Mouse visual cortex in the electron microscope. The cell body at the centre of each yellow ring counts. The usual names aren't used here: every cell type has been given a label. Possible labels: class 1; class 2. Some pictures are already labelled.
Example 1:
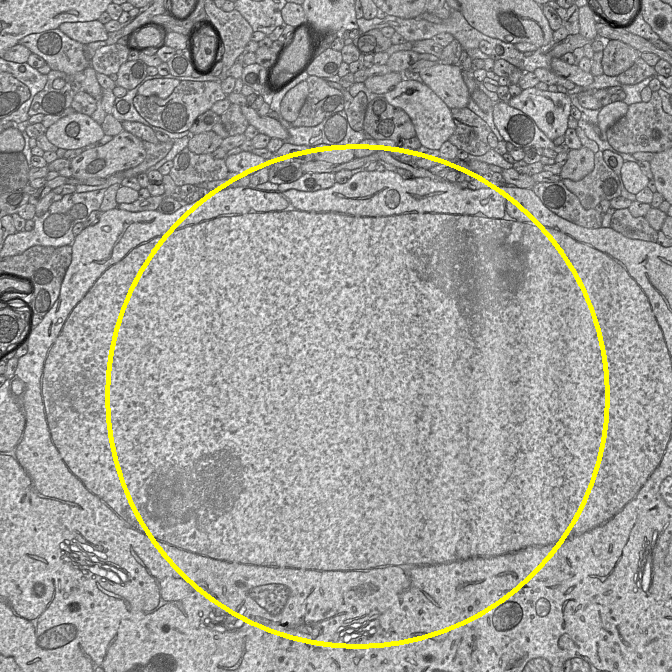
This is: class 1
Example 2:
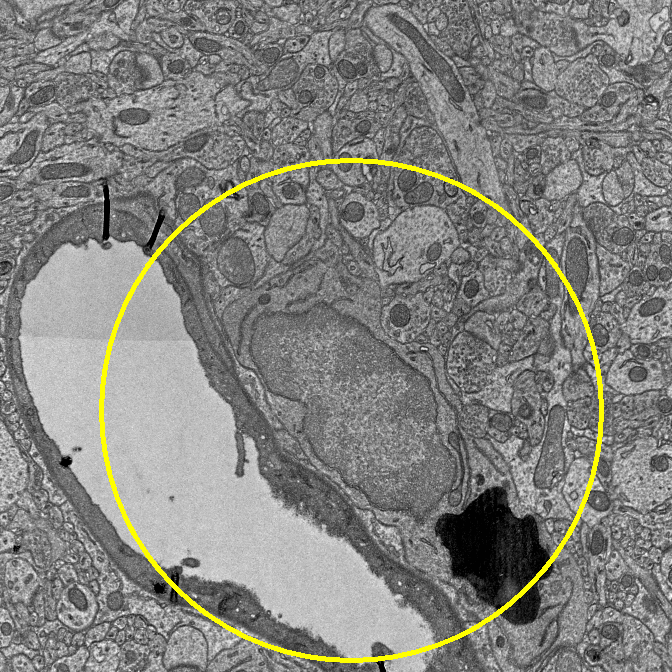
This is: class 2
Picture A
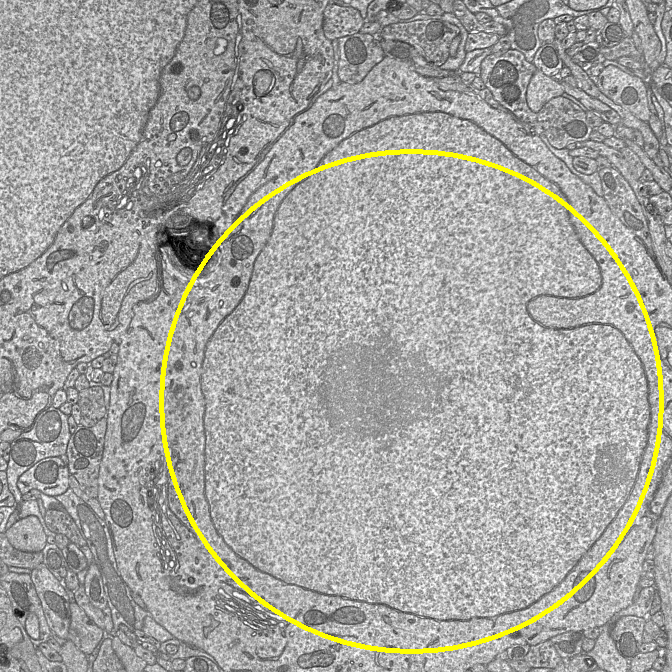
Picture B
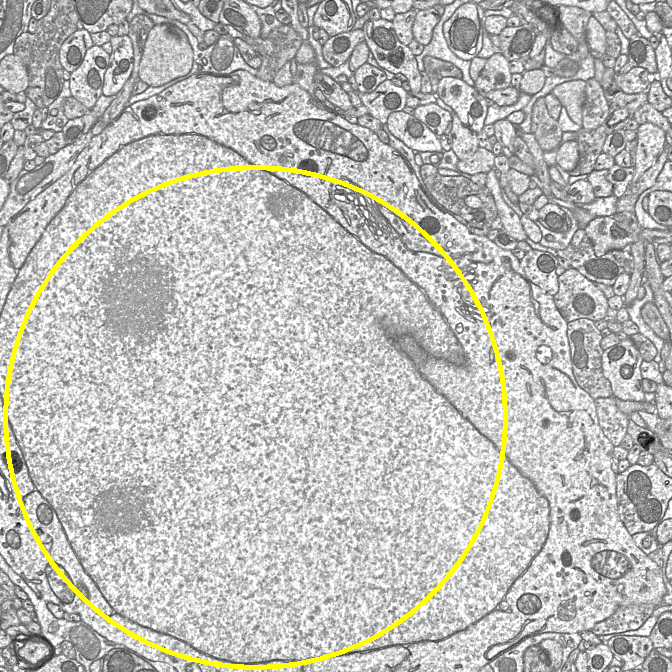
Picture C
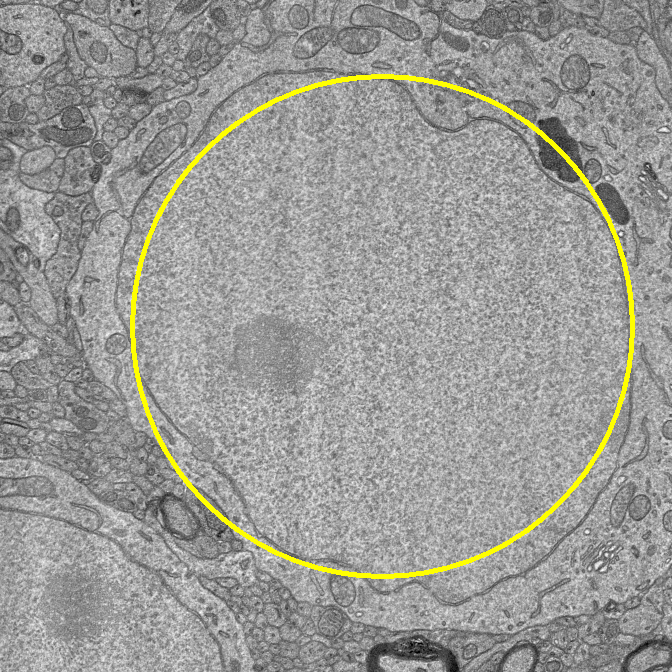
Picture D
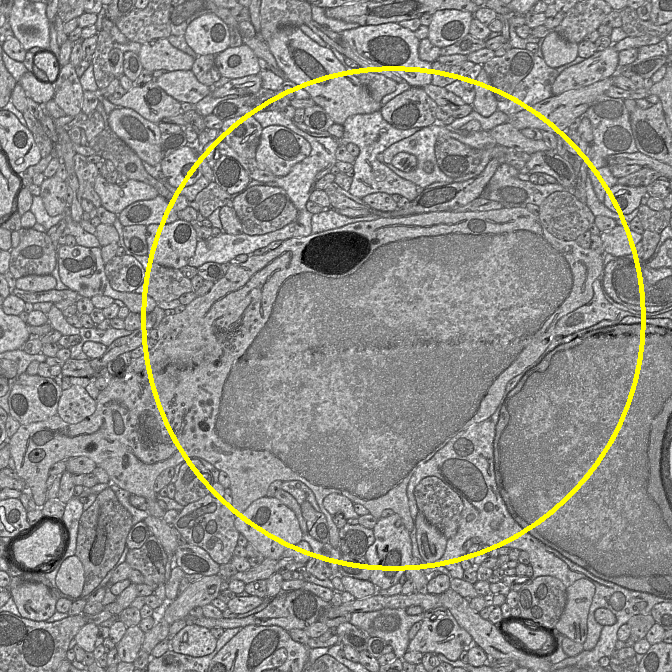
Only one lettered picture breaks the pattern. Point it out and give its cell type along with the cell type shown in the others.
D differs and shows class 2; the others show class 1.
